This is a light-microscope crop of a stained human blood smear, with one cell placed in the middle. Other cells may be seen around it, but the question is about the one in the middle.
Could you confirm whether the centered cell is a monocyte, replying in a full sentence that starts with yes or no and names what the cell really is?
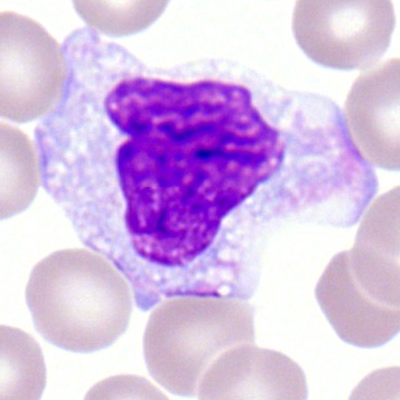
Yes, this is a monocyte, the cell in the middle of the crop.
